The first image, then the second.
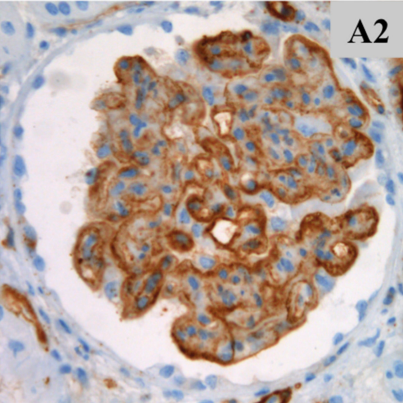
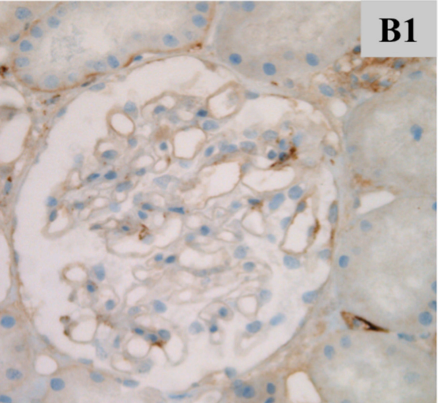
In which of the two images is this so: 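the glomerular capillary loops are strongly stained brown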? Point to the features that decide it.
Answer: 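First image: the loops of the glomerular tuft are thickly outlined in dark brown.
The first image.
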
